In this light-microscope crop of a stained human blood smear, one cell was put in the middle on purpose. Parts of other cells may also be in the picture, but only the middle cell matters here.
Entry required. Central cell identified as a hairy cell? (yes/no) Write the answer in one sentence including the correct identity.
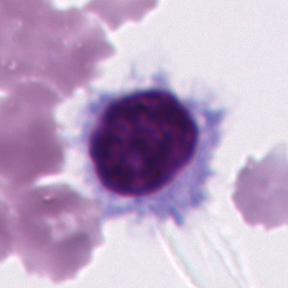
Yes, the cell of interest in the middle is a hairy cell.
